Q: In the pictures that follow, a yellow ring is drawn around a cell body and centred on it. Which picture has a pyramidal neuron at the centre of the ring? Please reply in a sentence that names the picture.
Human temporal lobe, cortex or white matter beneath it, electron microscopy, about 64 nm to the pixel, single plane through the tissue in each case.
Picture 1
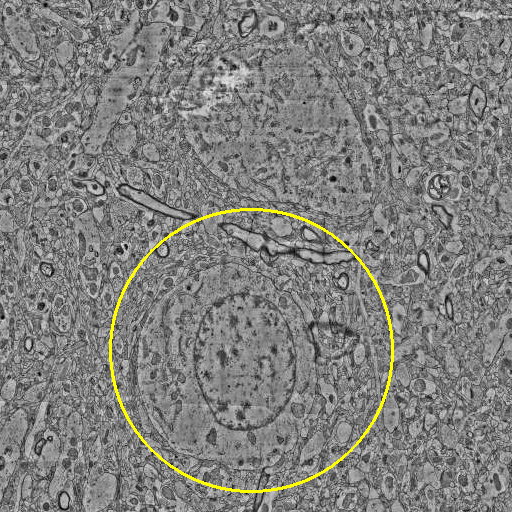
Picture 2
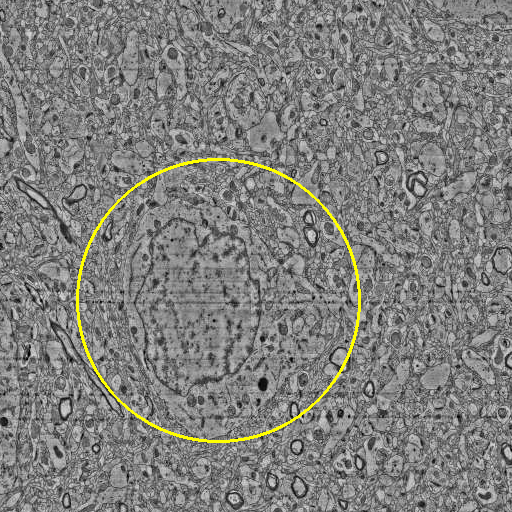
Picture 1 shows it at the centre of its ring.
